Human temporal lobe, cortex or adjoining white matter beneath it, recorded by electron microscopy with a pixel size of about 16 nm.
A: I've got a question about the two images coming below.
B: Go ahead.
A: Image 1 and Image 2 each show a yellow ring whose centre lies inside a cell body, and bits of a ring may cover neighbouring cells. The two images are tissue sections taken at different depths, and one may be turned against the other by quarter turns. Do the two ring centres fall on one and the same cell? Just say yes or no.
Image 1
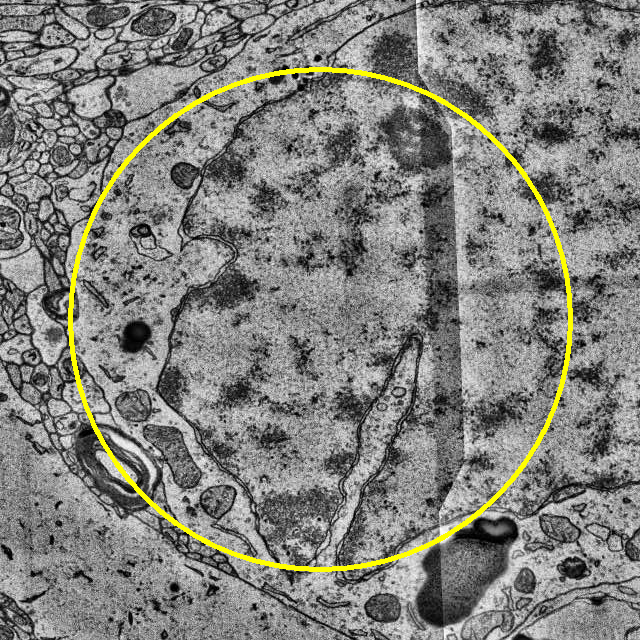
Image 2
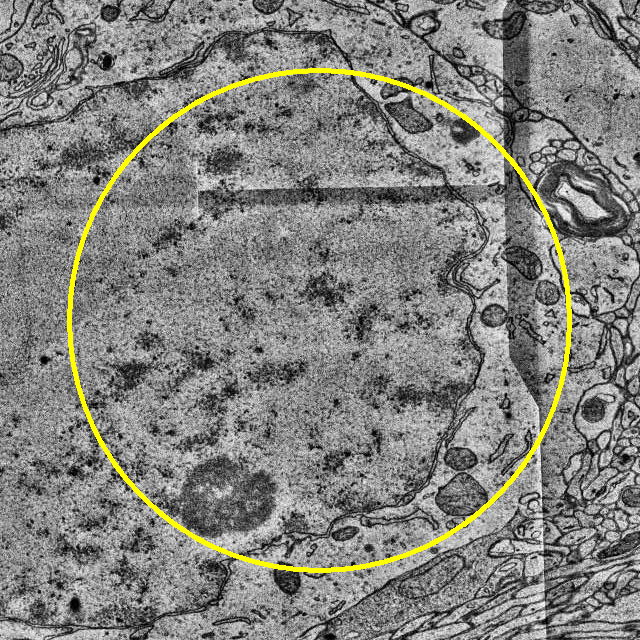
yes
